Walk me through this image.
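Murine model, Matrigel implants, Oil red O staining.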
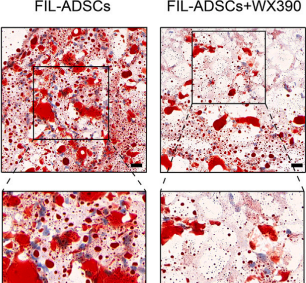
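In the left pair, large irregular red deposits and many red droplets of all sizes crowd the field. In the right pair, the red is mostly fine dots, with only a few larger red patches on a pale background.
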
